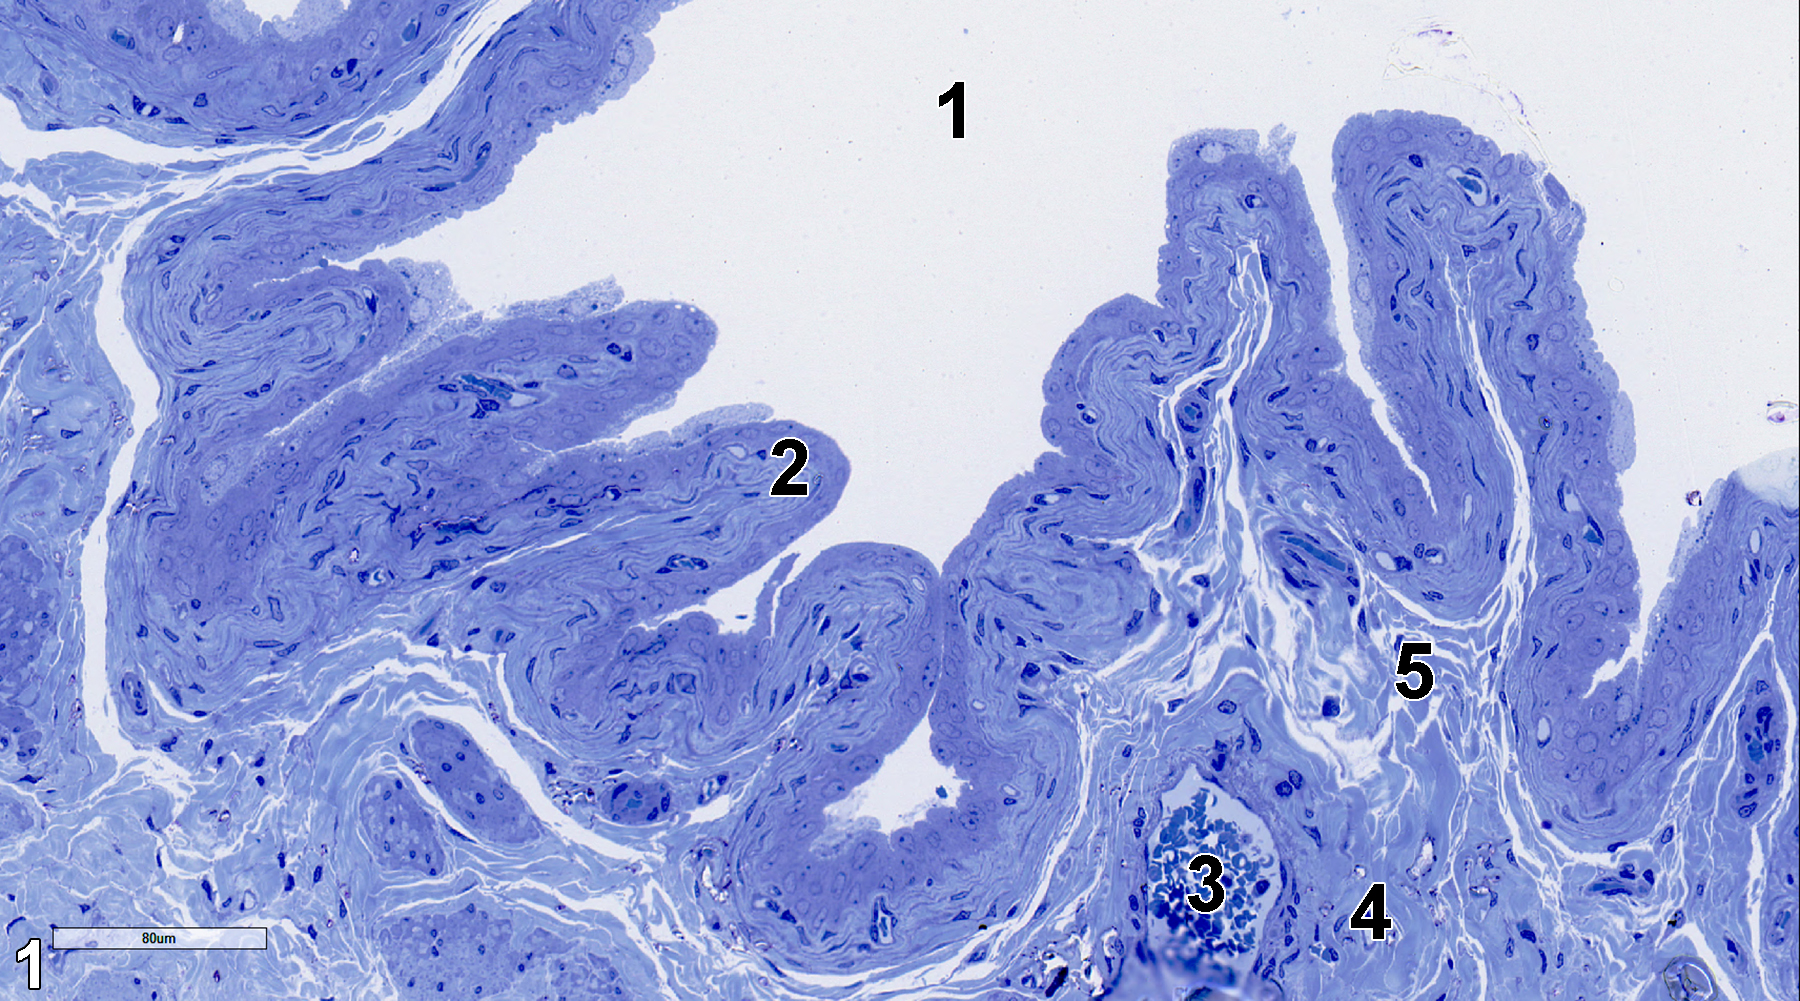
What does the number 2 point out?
Folded mucosal layer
